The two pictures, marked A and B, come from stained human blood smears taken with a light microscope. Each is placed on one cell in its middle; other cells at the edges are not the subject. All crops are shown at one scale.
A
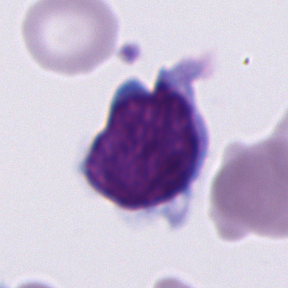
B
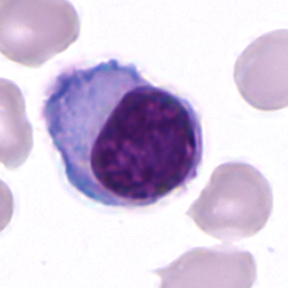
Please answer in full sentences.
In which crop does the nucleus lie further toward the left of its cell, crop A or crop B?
The nucleus in crop A lies further toward the left of its cell.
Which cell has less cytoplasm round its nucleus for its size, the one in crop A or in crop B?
It is the cell in crop A that is filled more by its nucleus.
